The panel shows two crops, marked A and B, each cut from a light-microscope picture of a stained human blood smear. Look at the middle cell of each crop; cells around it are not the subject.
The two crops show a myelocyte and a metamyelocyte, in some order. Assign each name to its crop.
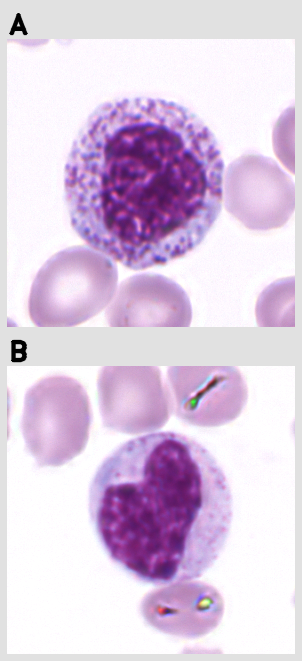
A: myelocyte
B: metamyelocyte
